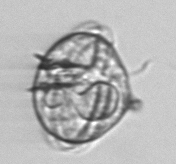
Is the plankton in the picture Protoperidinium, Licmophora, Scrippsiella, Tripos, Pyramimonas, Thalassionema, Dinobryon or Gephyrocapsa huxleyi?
It is Protoperidinium.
